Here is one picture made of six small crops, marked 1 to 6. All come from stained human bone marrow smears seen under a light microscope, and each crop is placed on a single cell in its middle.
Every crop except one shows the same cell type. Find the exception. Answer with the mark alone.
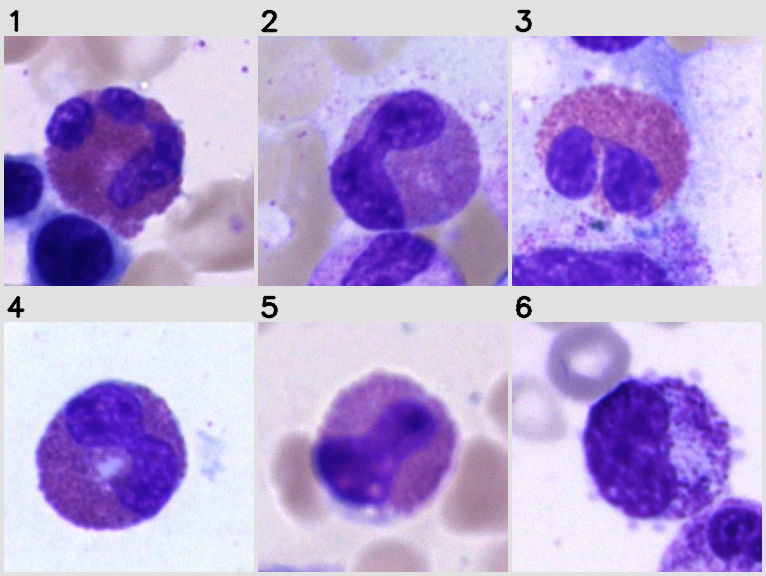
6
